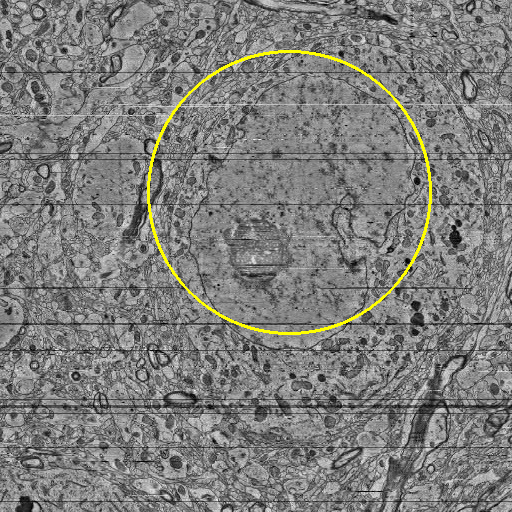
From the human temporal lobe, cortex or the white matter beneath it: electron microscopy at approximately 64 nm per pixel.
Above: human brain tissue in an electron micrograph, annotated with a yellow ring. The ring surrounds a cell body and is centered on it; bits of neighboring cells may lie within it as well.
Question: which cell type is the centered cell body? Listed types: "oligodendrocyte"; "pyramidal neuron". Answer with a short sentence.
The centered cell body is a pyramidal neuron.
